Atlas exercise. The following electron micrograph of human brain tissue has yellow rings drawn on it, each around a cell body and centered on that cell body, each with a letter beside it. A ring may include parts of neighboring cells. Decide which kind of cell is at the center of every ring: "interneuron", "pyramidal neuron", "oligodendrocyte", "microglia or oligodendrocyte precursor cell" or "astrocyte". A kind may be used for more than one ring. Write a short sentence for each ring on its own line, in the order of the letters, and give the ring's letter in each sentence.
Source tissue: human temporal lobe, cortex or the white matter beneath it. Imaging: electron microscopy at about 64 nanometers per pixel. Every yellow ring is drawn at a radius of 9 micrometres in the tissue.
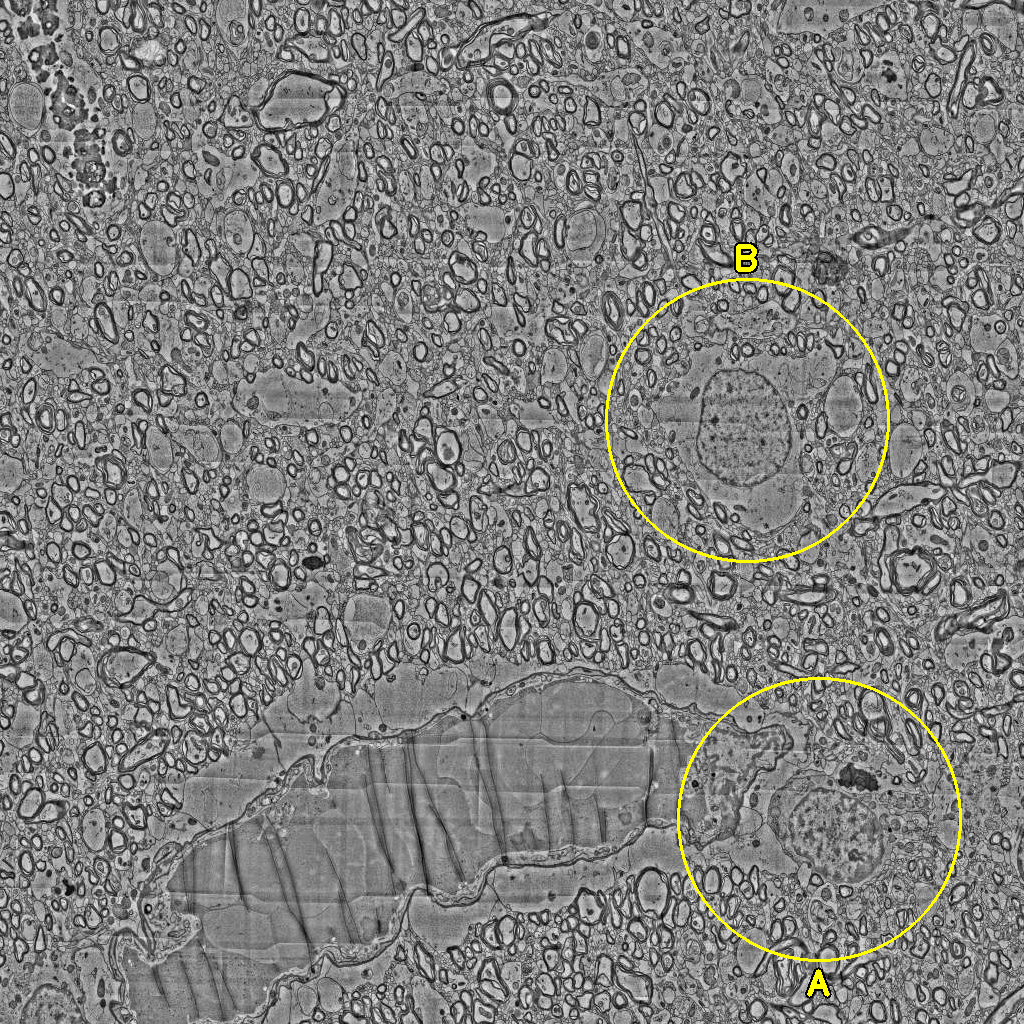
Ring A frames an oligodendrocyte at its center.
Ring B frames an astrocyte at its center.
